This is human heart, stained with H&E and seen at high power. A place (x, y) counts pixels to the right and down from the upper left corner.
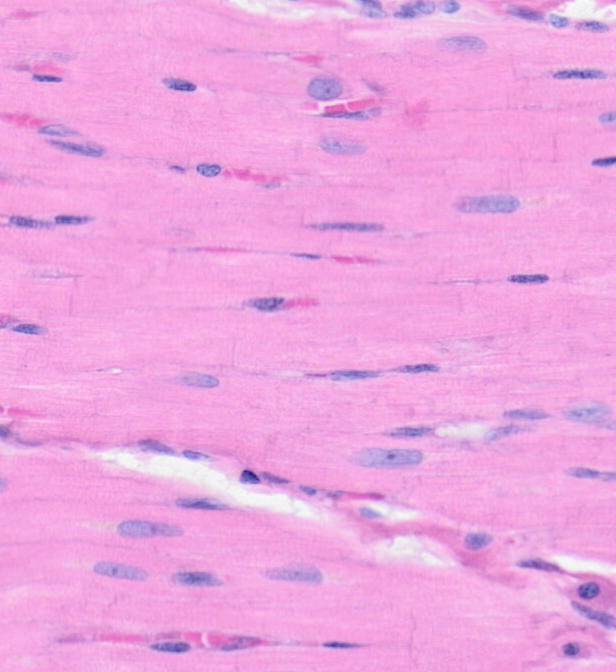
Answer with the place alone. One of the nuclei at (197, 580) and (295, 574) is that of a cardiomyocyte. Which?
(295, 574)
